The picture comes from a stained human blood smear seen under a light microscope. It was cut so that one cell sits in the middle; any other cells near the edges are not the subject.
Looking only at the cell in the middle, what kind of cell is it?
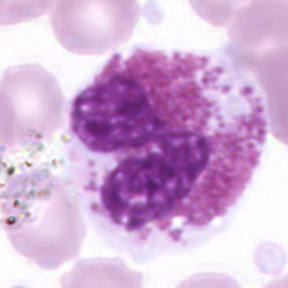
eosinophil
